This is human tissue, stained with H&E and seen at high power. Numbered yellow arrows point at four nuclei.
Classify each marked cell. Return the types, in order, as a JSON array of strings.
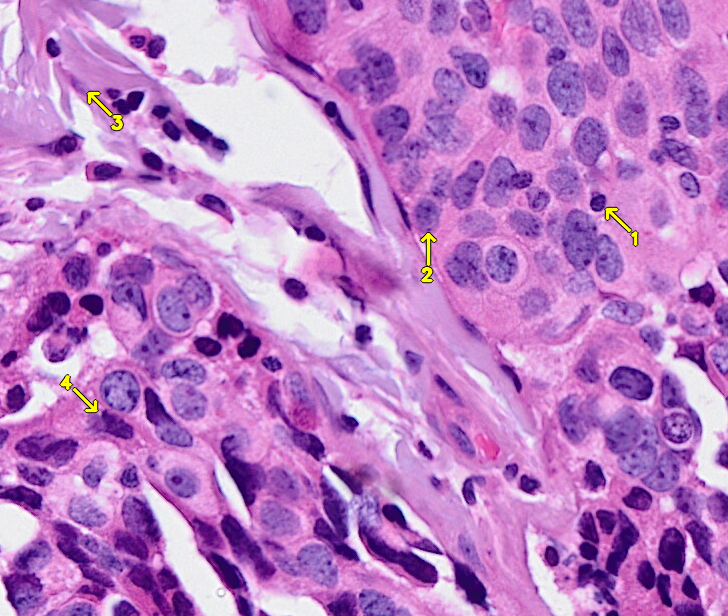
["lymphocyte", "carcinoma cell", "fibroblast", "carcinoma cell"]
